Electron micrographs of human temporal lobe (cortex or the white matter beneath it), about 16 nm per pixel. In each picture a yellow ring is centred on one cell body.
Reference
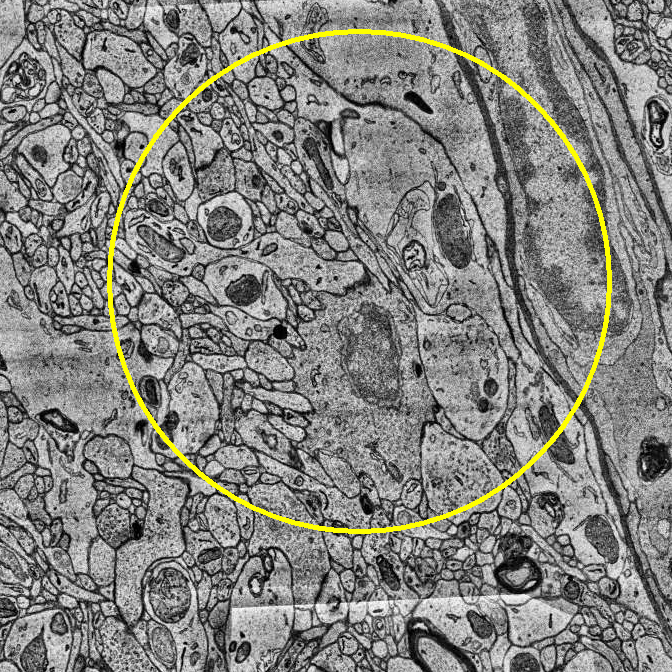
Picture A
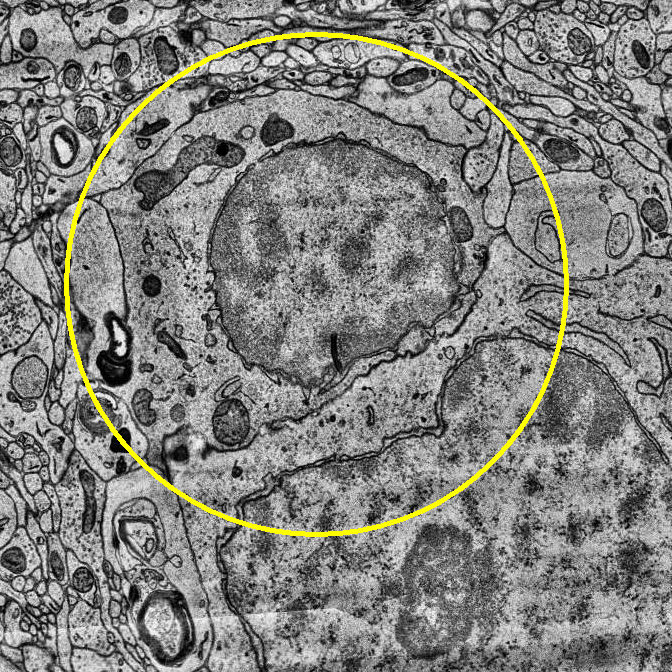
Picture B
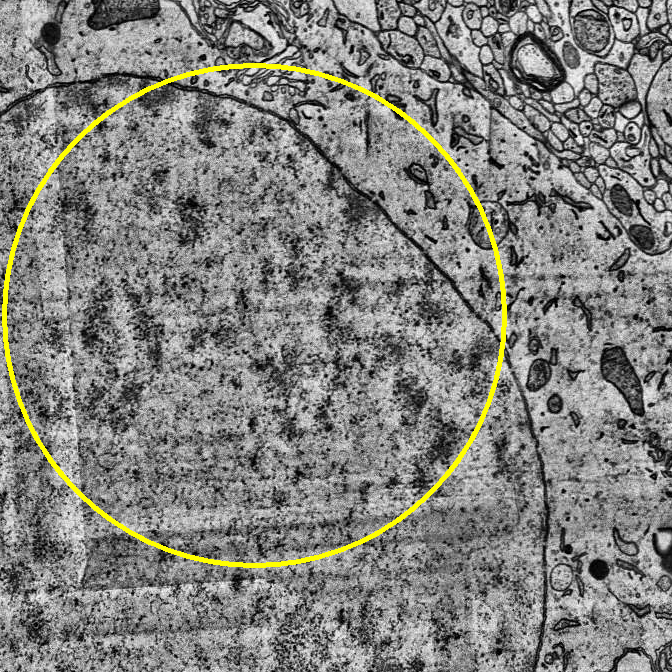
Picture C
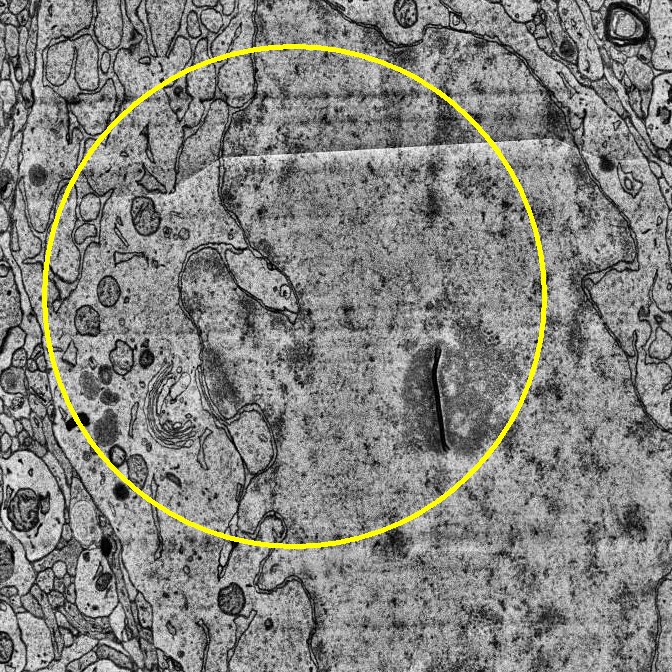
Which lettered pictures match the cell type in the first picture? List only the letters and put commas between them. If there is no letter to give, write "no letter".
A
